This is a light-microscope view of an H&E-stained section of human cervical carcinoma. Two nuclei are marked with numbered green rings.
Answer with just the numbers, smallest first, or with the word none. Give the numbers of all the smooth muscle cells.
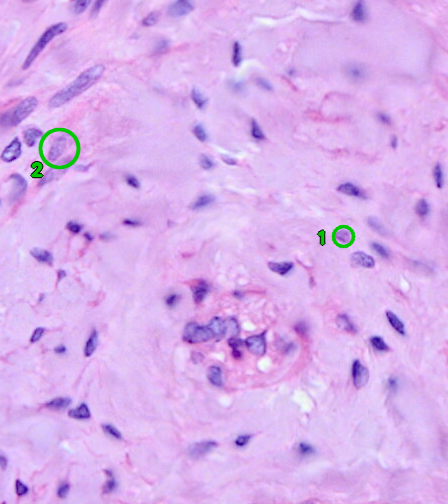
2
